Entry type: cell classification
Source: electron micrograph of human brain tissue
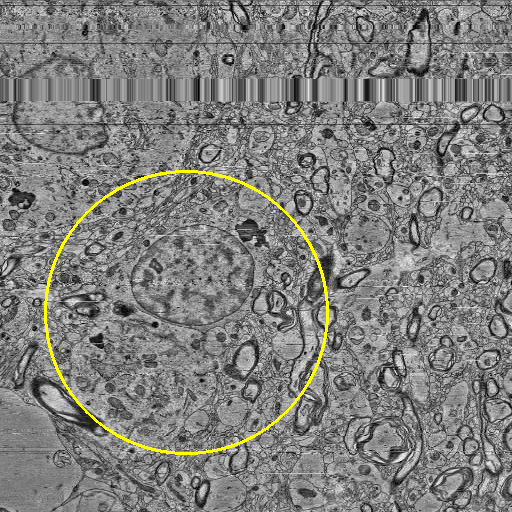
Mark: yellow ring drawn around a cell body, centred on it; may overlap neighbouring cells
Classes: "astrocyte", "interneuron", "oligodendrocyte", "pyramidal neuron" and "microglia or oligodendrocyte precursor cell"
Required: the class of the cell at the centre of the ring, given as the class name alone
oligodendrocyte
